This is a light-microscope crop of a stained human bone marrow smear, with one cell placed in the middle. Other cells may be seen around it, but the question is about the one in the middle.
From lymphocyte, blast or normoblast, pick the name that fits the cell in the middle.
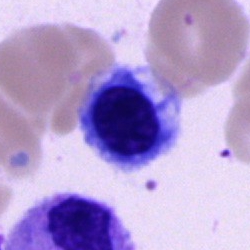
normoblast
